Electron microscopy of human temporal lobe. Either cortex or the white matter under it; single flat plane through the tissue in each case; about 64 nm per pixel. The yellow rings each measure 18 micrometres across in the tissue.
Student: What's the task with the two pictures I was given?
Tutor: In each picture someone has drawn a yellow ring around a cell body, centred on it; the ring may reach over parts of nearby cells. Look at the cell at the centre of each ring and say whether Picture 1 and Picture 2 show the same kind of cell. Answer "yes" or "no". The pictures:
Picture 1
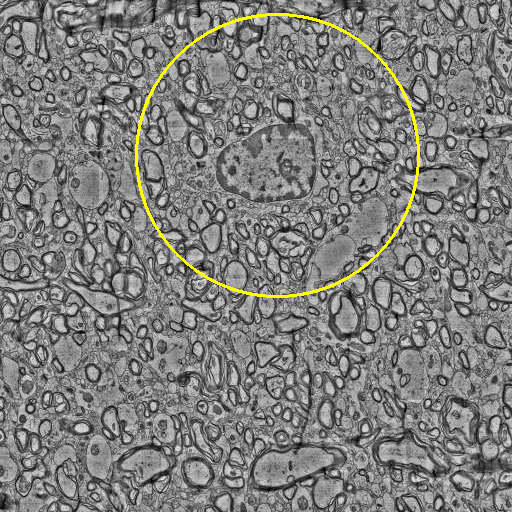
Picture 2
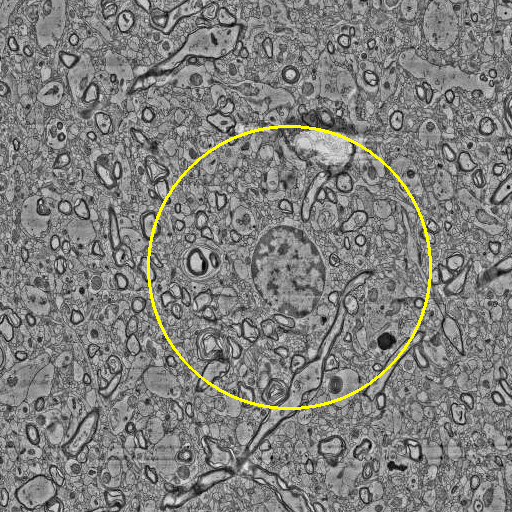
yes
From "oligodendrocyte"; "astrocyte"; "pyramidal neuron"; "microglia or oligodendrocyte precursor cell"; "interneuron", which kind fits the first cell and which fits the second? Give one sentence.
The first and the second cell are each a microglial cell or oligodendrocyte precursor cell.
